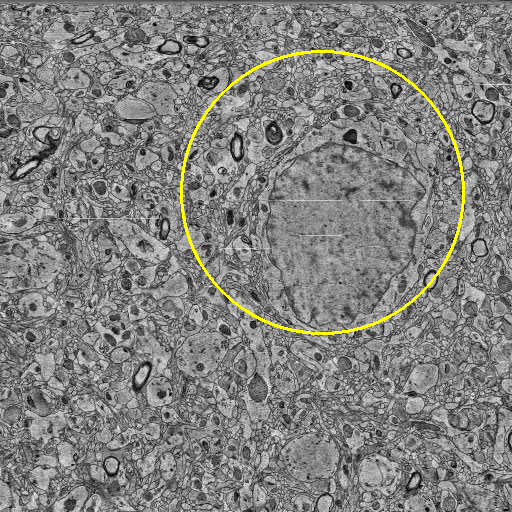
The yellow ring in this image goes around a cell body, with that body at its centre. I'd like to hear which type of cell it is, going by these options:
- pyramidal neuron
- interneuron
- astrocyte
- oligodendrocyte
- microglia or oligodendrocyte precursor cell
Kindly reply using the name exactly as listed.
interneuron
